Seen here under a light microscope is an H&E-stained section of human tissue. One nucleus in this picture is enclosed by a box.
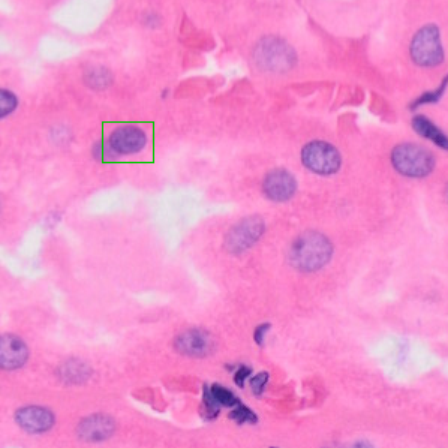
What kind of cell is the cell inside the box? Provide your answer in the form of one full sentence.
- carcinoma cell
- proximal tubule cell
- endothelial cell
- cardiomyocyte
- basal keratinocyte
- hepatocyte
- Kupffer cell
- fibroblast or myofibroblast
Among the cells in this section, the cell inside the box is a proximal tubule cell.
